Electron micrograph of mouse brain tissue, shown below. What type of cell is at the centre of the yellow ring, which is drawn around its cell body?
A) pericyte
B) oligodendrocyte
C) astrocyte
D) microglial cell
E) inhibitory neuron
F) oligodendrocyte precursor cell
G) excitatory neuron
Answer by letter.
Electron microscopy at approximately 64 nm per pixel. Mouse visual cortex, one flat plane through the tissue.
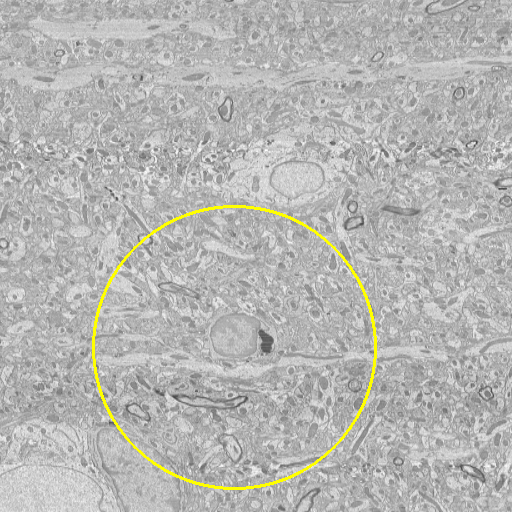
D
